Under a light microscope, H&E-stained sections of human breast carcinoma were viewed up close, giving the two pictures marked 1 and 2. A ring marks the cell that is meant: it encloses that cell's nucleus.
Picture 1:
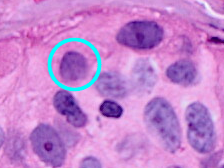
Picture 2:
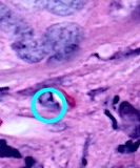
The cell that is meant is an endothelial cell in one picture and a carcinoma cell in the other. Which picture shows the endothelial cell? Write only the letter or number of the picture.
2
